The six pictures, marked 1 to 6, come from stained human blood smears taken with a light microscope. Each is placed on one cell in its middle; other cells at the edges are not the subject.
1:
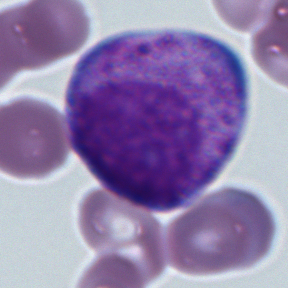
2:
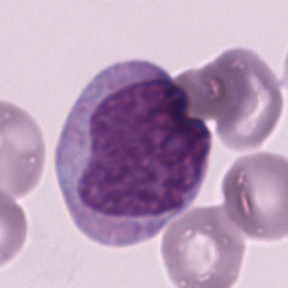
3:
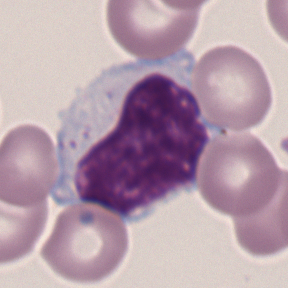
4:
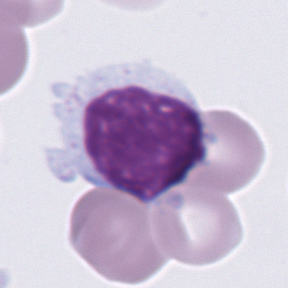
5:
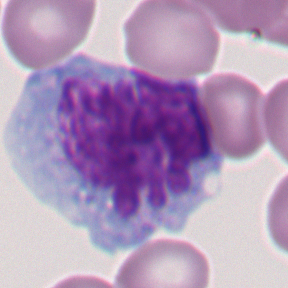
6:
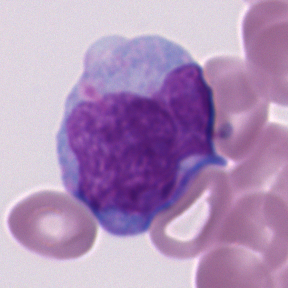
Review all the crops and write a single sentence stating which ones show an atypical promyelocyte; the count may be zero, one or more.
Crops 1, 2 and 6 are designated as showing atypical promyelocytes.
